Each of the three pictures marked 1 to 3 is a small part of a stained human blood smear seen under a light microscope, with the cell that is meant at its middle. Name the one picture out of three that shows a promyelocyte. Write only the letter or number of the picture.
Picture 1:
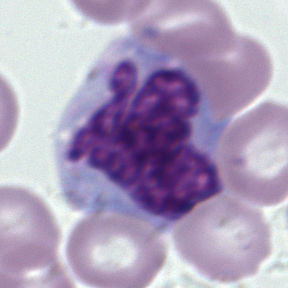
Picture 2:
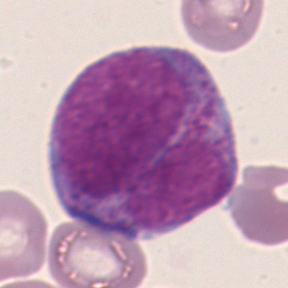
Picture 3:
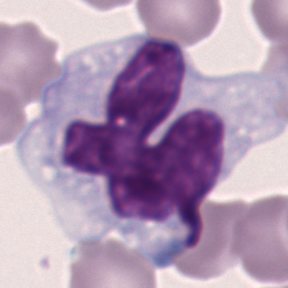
2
